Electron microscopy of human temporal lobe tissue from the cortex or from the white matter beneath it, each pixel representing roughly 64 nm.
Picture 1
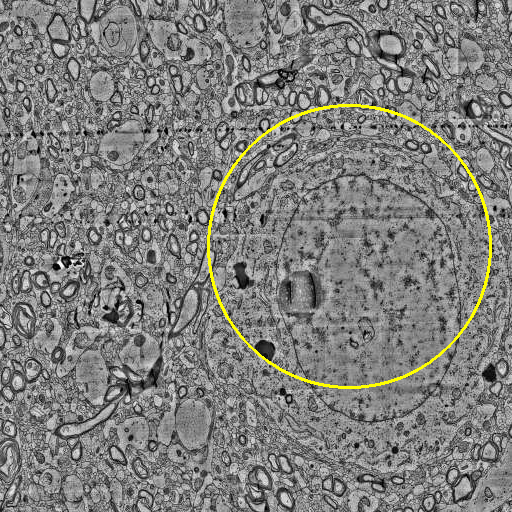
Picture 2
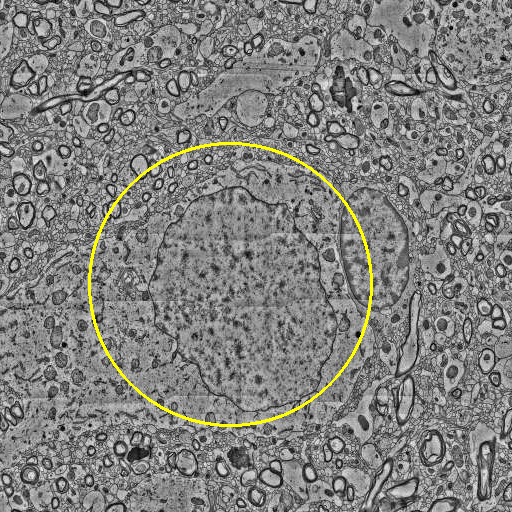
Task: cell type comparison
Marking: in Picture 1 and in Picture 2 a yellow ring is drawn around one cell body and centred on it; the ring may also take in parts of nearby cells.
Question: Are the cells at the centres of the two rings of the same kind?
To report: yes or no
yes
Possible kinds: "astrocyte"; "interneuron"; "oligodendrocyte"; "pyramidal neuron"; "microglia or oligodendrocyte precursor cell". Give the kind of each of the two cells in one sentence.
Each of the two rings surrounds a pyramidal neuron.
